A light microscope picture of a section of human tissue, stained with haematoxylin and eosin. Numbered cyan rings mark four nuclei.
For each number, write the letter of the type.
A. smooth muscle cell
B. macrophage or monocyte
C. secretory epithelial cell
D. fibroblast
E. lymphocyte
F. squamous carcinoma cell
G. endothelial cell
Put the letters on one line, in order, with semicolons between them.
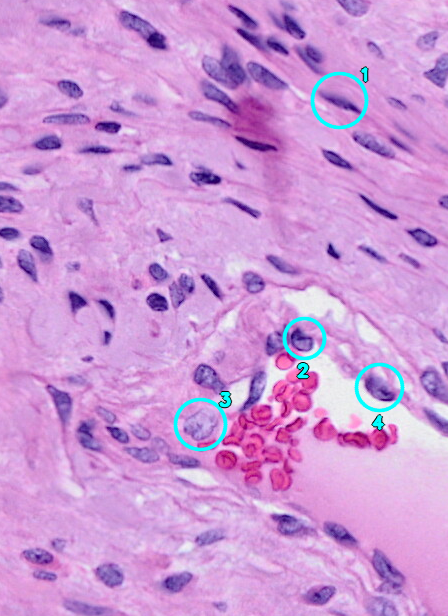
D; G; G; G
